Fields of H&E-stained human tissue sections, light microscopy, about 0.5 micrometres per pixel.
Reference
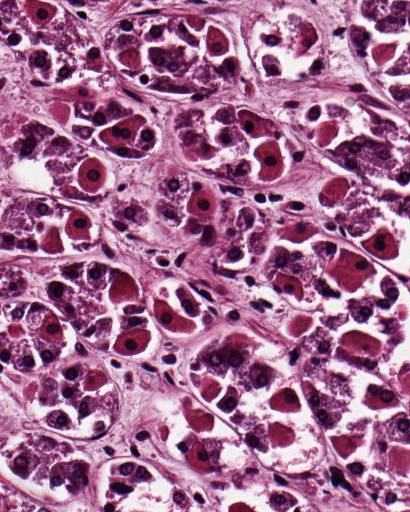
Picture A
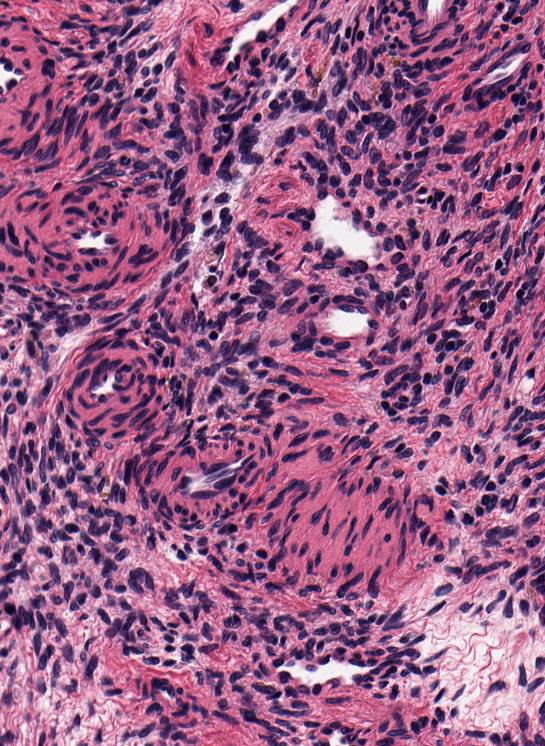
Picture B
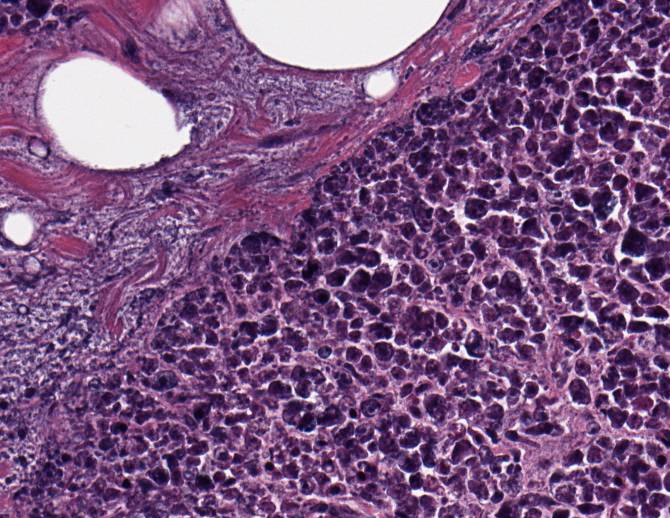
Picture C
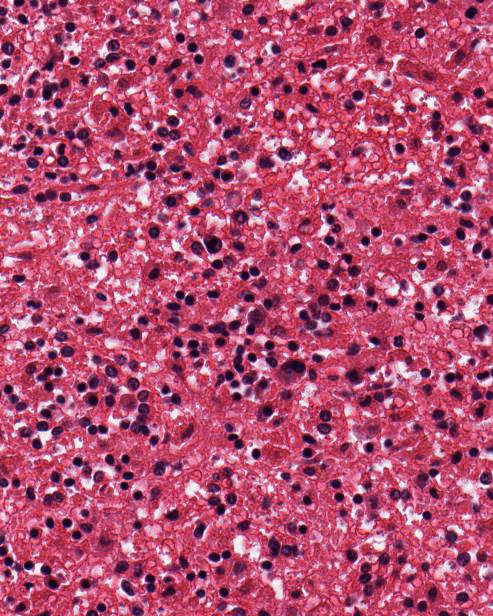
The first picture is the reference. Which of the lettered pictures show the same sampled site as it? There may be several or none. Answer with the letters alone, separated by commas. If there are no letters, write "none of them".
none of them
